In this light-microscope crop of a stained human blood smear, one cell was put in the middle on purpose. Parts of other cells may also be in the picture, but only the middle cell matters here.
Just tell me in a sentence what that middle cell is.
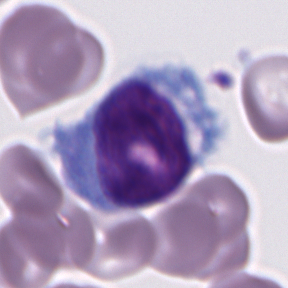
Centred in the crop is a monocyte.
